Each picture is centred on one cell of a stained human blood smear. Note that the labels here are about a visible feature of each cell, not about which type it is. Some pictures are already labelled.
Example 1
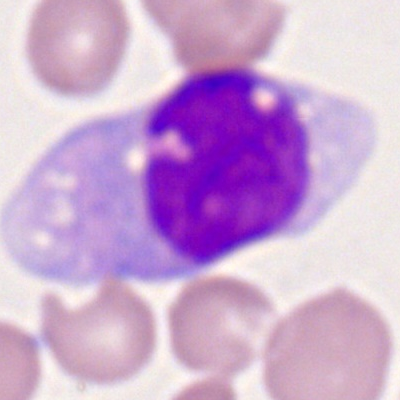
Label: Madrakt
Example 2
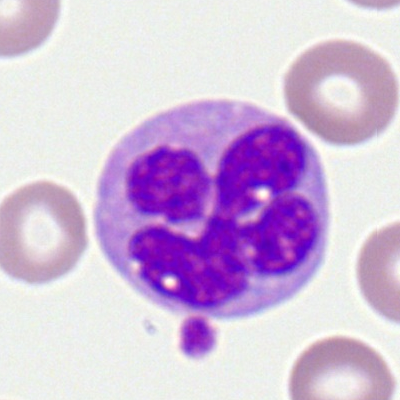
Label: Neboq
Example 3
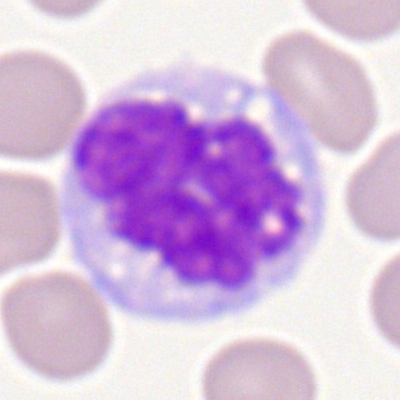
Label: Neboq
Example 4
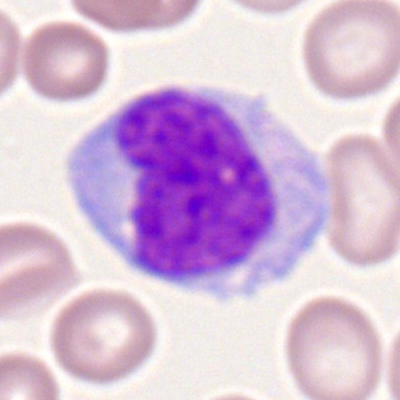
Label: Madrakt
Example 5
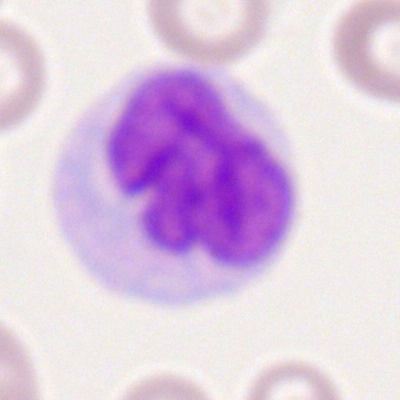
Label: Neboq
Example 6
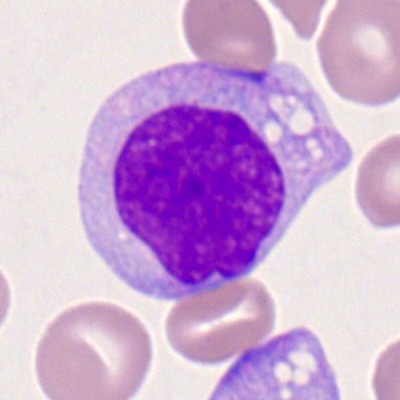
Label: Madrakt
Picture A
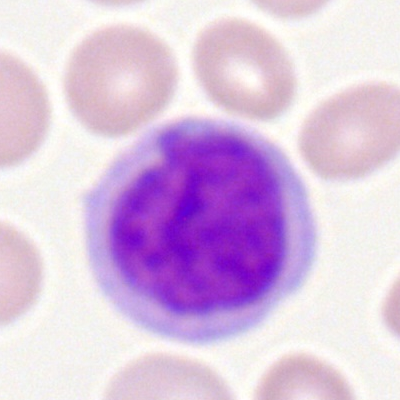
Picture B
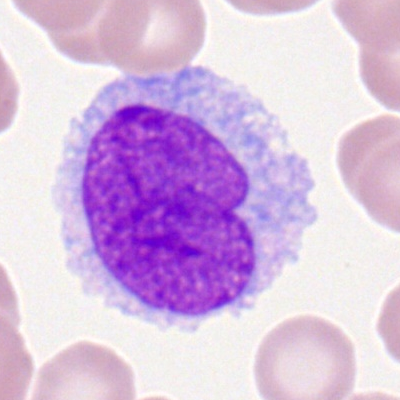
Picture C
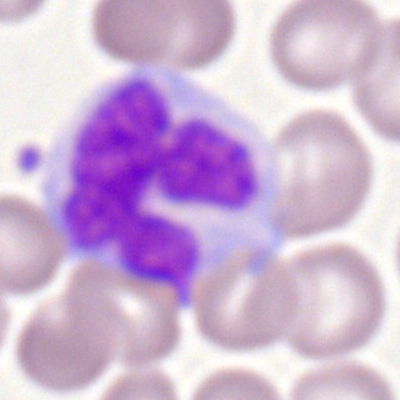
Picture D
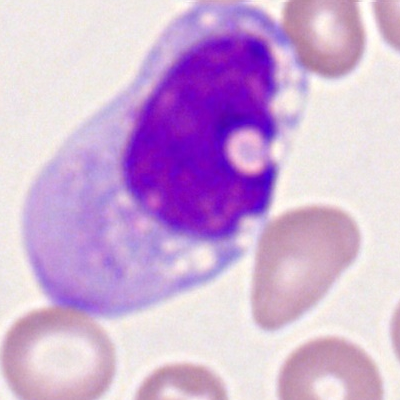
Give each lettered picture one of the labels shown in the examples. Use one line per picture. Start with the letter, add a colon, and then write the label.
A: Madrakt
B: Madrakt
C: Neboq
D: Madrakt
